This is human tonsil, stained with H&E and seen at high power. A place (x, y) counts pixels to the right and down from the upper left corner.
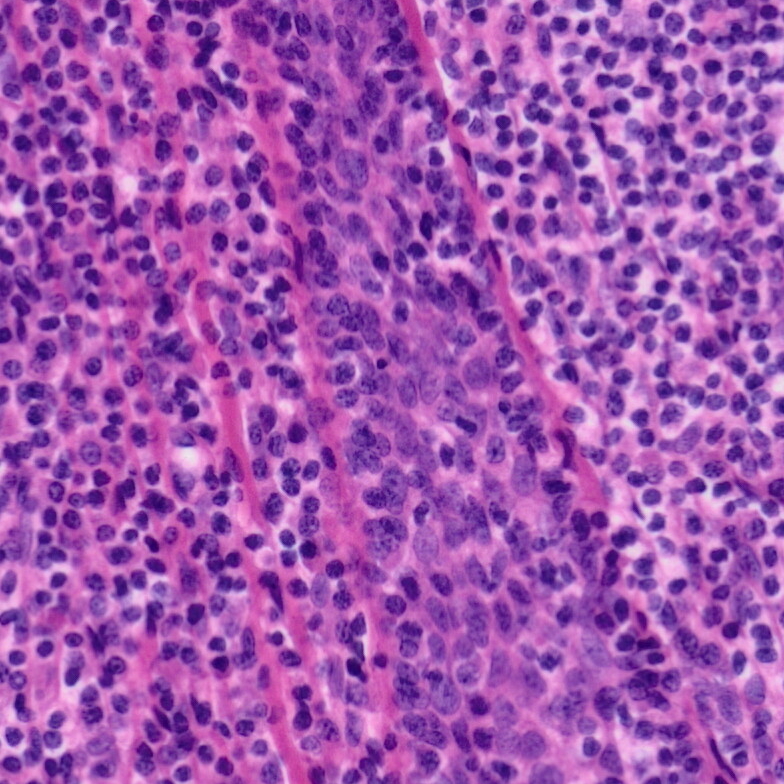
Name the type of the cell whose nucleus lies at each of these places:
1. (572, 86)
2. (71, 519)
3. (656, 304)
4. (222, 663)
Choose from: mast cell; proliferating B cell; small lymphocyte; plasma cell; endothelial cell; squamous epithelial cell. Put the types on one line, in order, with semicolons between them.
small lymphocyte; plasma cell; small lymphocyte; plasma cell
